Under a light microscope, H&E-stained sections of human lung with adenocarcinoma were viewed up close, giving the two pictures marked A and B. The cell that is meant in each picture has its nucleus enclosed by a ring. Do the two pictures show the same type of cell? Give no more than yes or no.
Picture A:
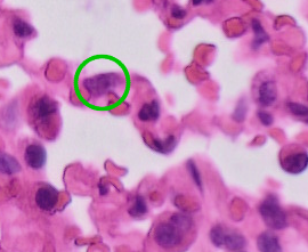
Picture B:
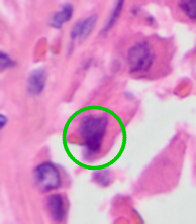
no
